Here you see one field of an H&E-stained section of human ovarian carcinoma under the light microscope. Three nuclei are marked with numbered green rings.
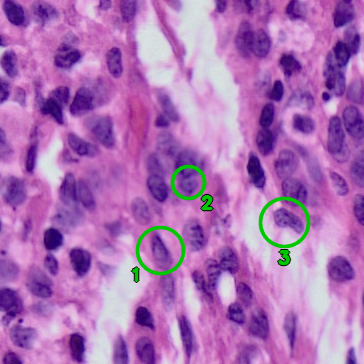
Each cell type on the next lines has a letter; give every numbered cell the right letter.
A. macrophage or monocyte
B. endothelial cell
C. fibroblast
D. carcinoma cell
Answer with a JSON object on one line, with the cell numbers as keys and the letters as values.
{"1": "B", "2": "D", "3": "A"}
